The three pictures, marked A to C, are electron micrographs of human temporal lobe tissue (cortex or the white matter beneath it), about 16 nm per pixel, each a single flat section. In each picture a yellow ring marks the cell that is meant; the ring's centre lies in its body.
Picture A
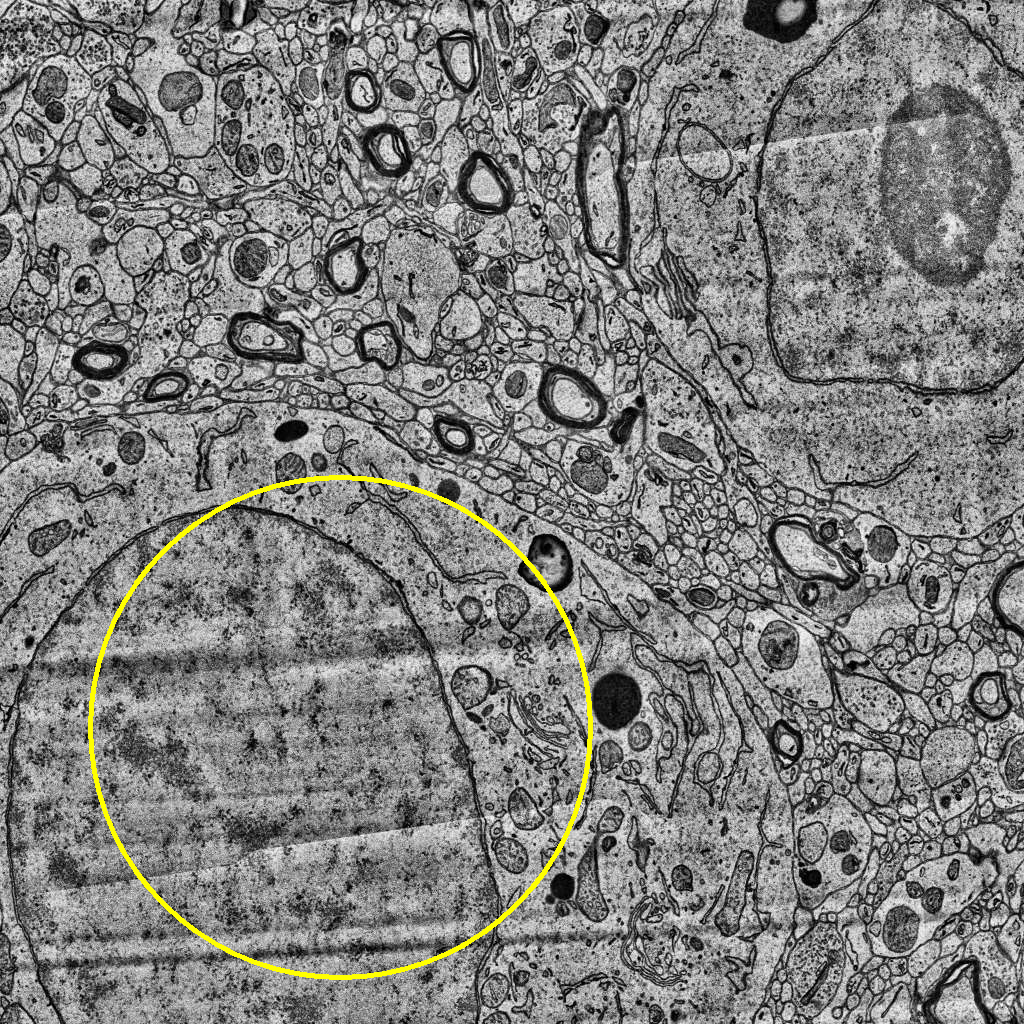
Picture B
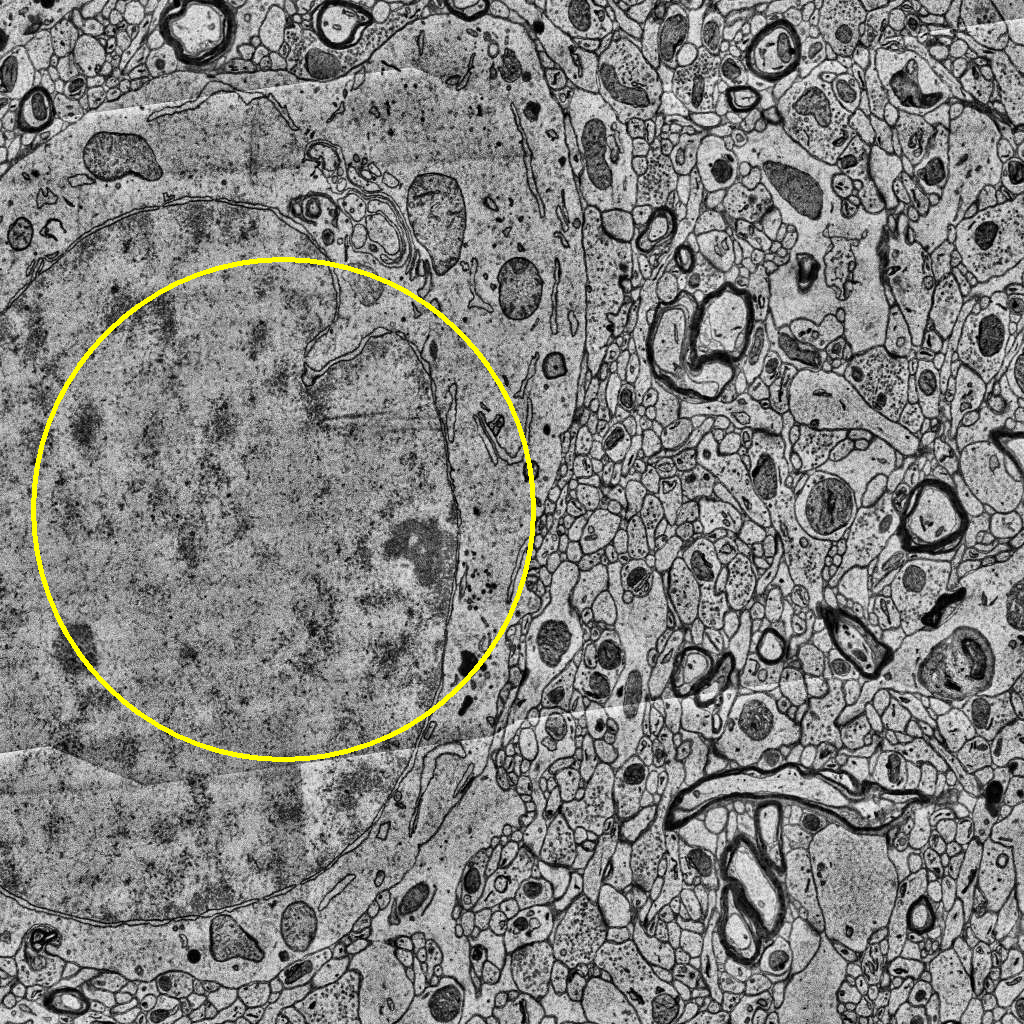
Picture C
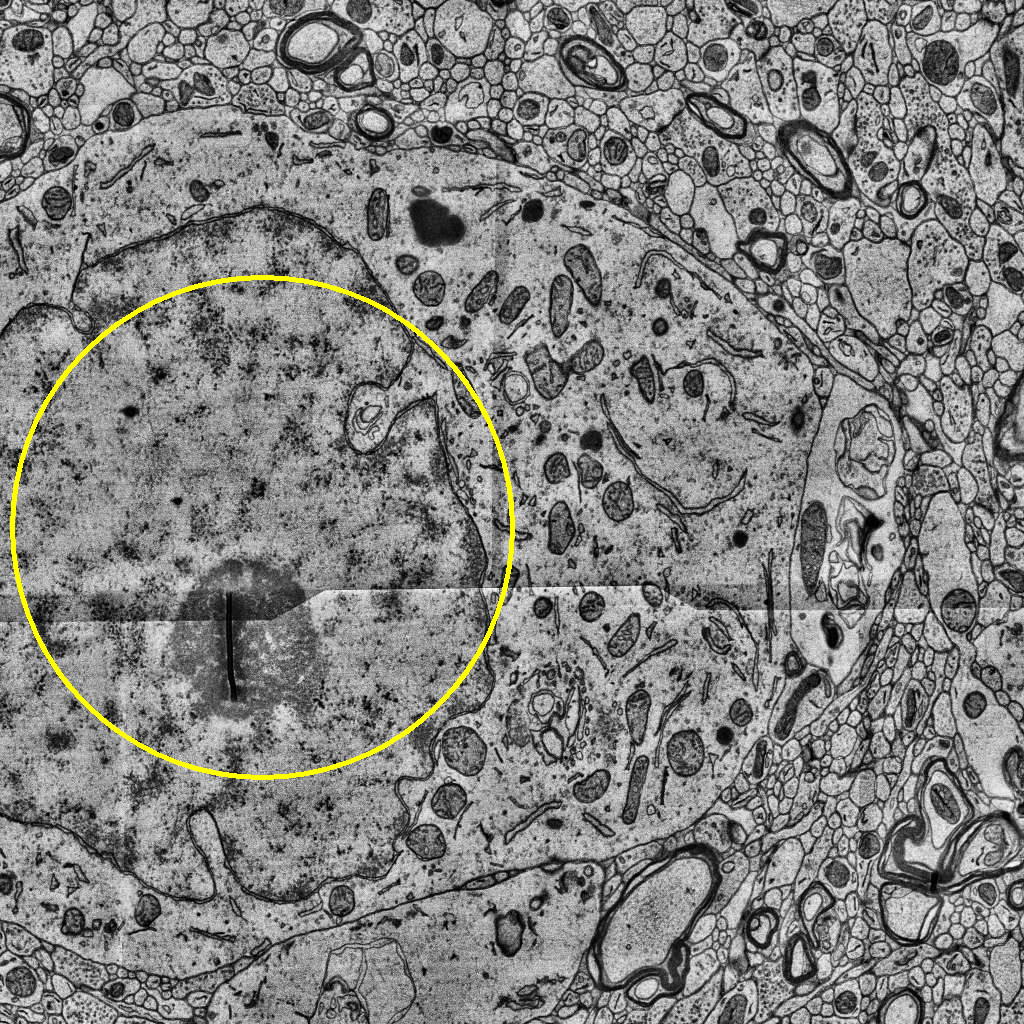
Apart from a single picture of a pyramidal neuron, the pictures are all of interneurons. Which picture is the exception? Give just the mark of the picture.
A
